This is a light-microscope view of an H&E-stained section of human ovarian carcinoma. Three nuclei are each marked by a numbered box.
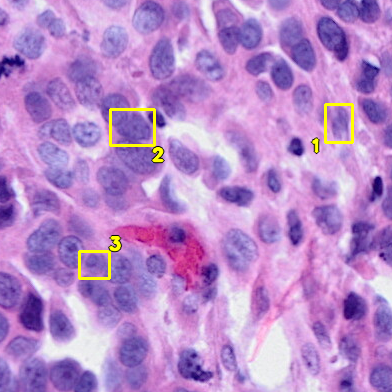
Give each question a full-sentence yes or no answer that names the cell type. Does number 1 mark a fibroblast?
Yes, the cell distinguished by number 1 is a fibroblast.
